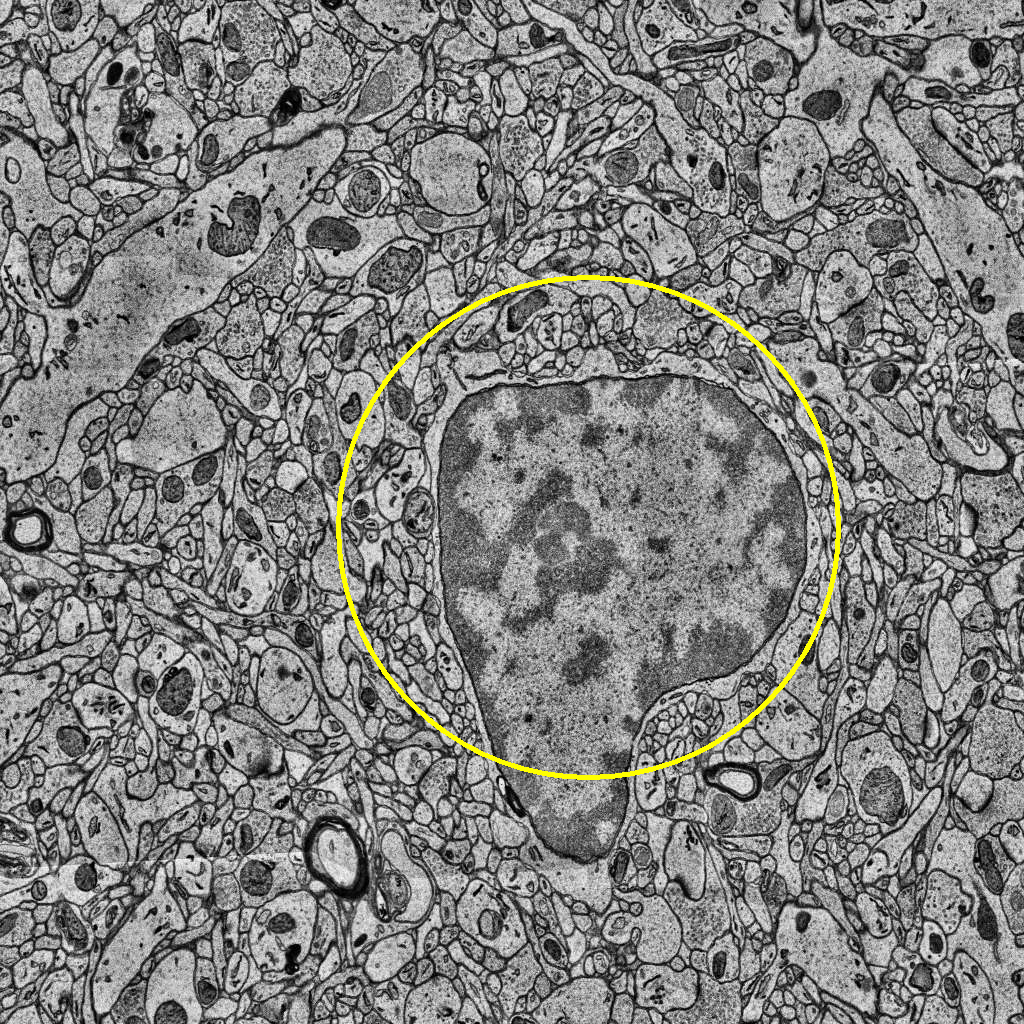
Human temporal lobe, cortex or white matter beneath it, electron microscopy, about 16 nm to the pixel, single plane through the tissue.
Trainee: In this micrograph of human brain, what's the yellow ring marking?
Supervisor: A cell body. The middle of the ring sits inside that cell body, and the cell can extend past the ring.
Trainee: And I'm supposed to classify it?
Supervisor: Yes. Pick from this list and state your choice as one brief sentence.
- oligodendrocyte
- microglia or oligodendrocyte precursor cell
The cell at the ring's center is a microglial cell or oligodendrocyte precursor cell.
